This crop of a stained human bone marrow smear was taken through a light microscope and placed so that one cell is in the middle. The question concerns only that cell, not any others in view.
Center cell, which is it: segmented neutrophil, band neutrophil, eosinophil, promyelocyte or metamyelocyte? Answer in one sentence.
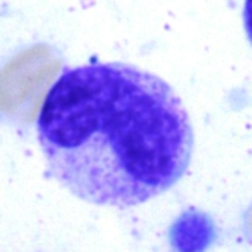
This crop's central cell is a band neutrophil.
